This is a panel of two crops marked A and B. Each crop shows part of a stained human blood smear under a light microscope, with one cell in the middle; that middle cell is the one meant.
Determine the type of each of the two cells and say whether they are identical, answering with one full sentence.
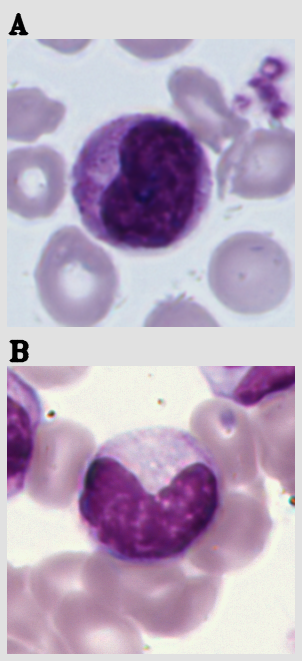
Yes, in the middle of both crops lie metamyelocytes.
